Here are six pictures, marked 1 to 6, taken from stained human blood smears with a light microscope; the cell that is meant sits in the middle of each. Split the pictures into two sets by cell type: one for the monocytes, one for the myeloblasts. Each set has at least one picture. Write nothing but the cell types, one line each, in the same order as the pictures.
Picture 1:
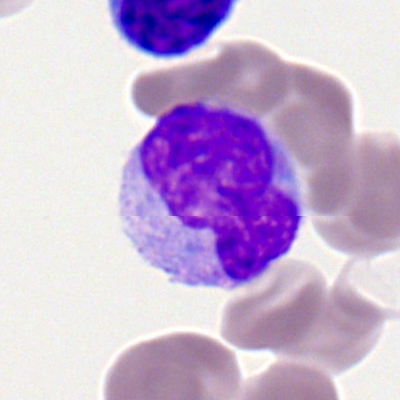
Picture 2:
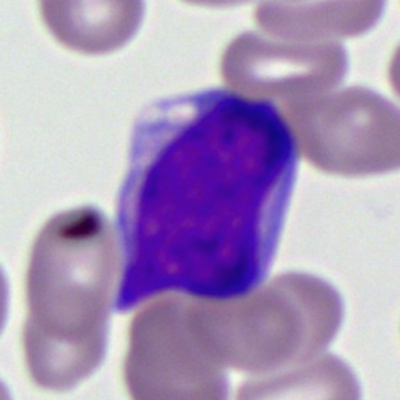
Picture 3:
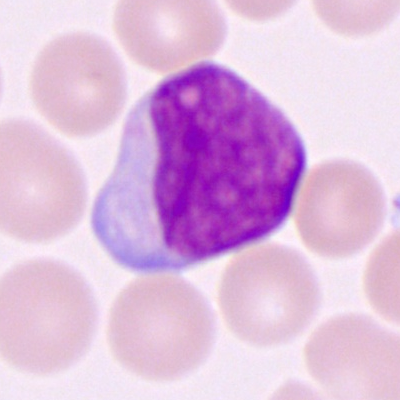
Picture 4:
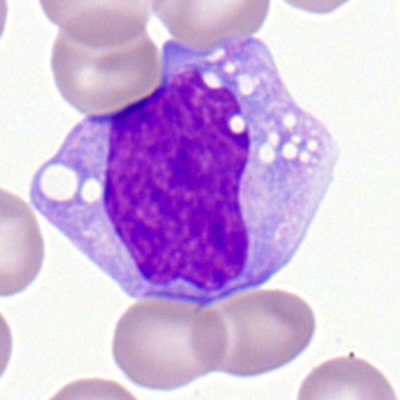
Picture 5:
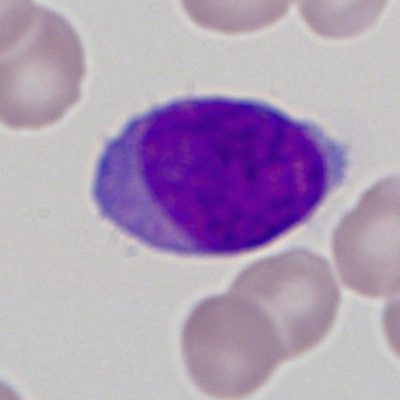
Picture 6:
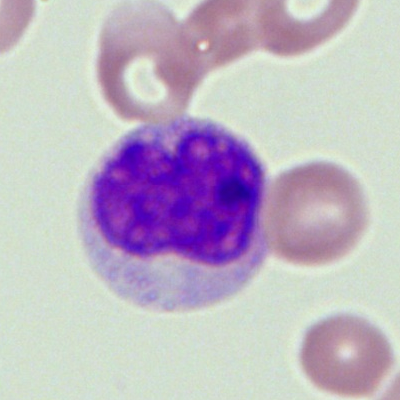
monocyte
myeloblast
myeloblast
monocyte
myeloblast
monocyte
